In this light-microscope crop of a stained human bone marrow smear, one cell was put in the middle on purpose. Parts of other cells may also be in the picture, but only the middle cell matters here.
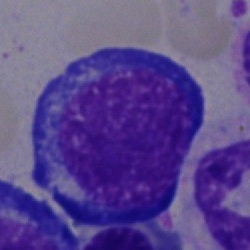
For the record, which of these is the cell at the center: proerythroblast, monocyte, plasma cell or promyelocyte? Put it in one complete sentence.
By type, the central cell of the crop is a proerythroblast.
